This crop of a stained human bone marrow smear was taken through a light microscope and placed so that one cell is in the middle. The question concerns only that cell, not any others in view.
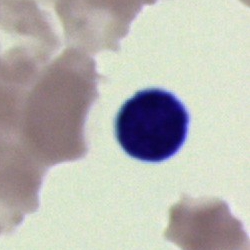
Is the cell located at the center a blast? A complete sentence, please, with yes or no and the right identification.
No, the cell in the middle is a lymphocyte, not a blast.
